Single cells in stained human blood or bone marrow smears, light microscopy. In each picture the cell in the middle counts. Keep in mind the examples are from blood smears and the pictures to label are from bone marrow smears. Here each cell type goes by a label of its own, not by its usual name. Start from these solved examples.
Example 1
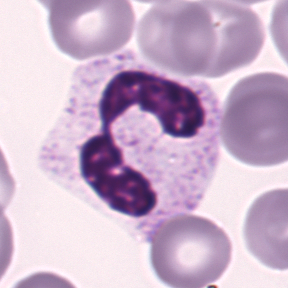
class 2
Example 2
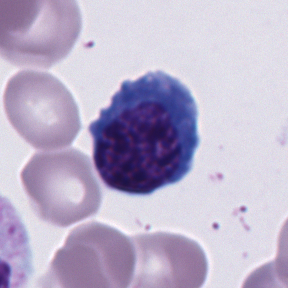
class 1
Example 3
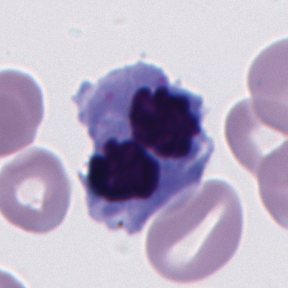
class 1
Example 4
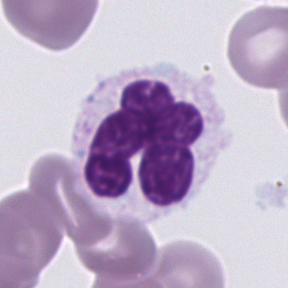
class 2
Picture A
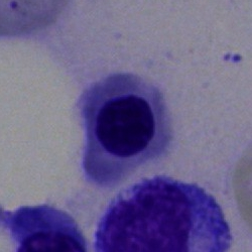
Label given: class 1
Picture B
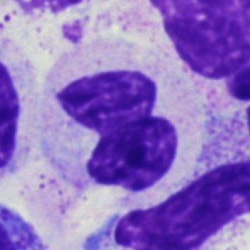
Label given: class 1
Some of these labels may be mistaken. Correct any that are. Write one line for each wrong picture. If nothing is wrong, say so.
B is labelled class 1; correct label: class 2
